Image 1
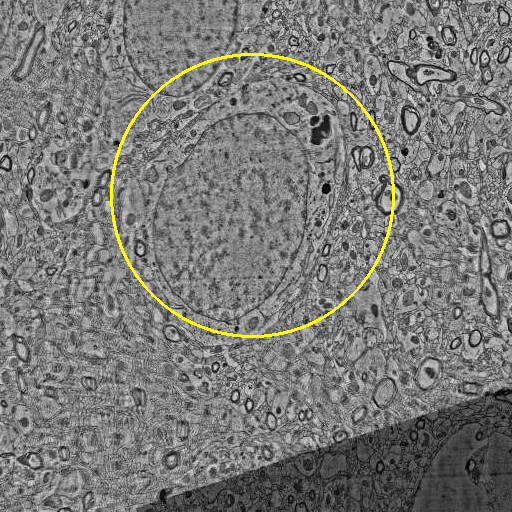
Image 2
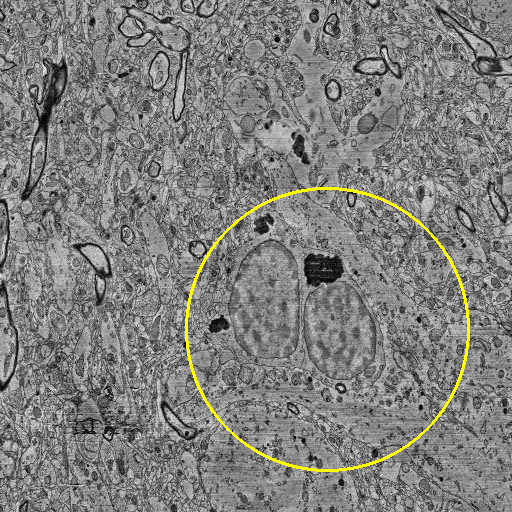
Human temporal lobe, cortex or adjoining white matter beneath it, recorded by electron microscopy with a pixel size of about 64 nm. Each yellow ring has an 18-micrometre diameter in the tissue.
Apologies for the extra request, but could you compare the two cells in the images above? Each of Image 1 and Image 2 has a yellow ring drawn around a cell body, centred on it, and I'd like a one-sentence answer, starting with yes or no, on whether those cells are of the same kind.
No, the two cells are of two kinds.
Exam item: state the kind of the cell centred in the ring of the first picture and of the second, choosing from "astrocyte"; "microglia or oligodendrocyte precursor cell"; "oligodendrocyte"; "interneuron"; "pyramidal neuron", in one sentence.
The first picture shows a pyramidal neuron at the ring centre and the second shows an oligodendrocyte.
